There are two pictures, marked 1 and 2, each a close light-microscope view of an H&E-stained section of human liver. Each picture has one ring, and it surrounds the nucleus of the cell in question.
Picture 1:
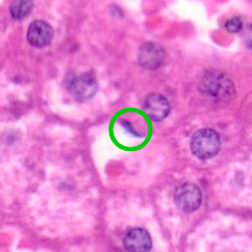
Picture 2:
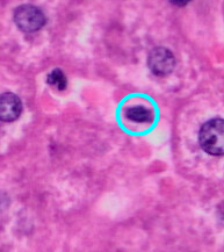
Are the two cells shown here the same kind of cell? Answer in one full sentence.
No. Picture 1 shows an endothelial cell, but picture 2 shows a lymphocyte.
